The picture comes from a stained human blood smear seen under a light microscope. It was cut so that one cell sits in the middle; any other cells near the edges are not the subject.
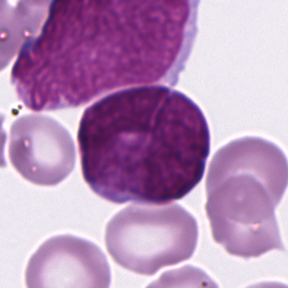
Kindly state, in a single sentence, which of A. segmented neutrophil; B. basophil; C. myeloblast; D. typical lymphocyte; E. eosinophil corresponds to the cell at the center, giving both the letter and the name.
With the cell in the middle being a myeloblast, option C is the correct choice.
